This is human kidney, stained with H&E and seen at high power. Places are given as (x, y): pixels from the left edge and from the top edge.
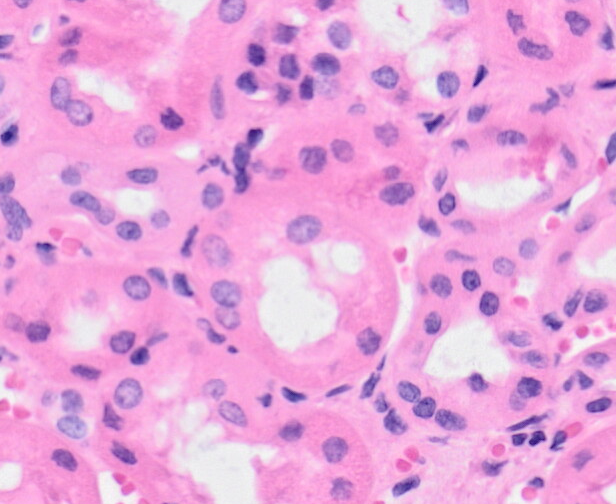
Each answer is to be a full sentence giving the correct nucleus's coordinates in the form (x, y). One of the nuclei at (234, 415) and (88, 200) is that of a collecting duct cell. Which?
The nucleus found at (88, 200) belongs to a collecting duct cell.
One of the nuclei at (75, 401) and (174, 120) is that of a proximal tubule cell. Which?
The nucleus that sits at (174, 120) is the nucleus of a proximal tubule cell.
